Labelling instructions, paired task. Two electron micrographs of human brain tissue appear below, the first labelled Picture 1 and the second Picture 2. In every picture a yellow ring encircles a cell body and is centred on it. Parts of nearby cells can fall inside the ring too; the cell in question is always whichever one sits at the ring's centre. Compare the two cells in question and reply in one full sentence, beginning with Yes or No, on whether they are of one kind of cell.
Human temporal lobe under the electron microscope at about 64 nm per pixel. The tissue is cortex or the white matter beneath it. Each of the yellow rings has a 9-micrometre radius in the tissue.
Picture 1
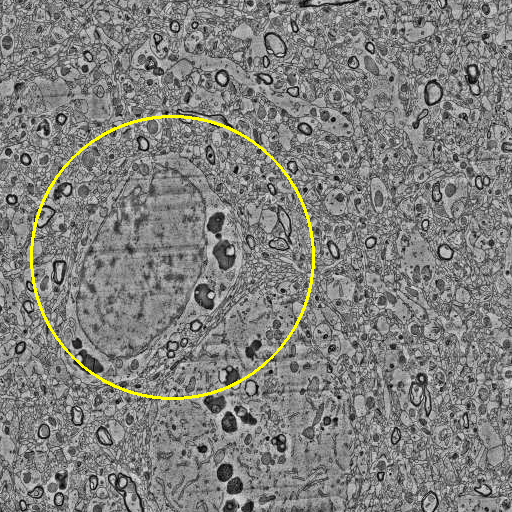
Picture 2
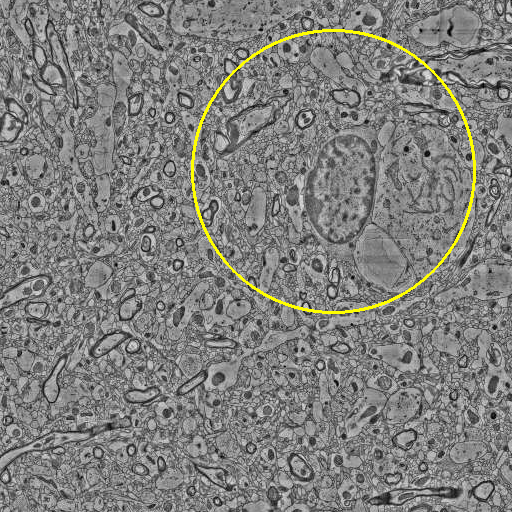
No, the two cells at the ring centres in Picture 1 and Picture 2 are of two kinds.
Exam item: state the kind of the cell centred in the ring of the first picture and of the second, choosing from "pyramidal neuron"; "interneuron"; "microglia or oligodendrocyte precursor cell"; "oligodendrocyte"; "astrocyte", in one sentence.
The first picture shows an interneuron at the ring centre and the second shows an oligodendrocyte.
